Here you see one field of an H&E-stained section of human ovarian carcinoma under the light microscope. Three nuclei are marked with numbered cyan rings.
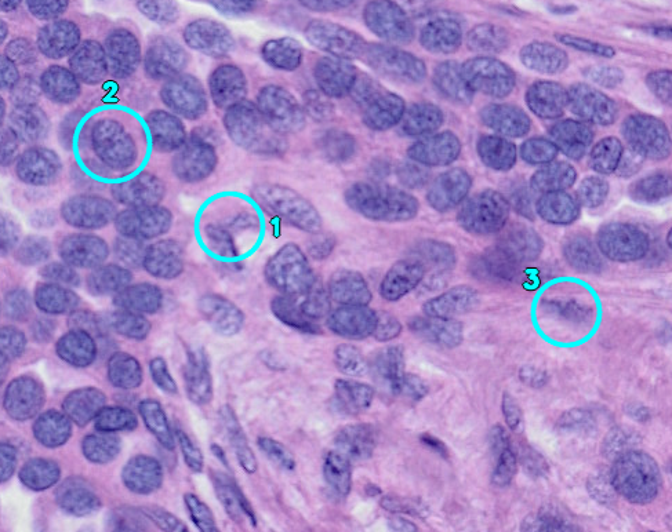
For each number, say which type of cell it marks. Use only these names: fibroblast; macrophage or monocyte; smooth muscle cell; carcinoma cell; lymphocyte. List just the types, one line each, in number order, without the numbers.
fibroblast
carcinoma cell
fibroblast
